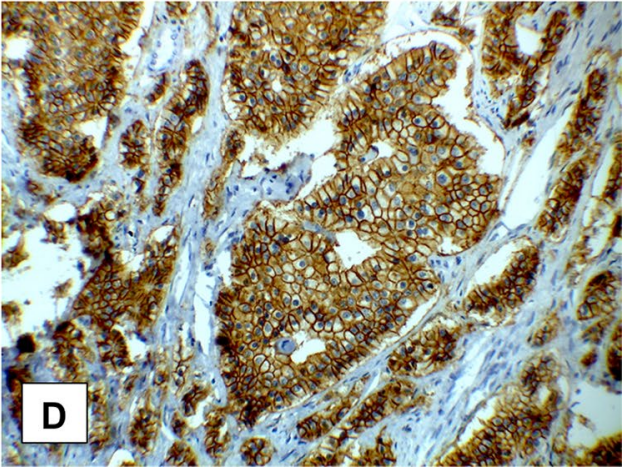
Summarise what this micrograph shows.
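Nests and cords of tumour cells are outlined by strong brown staining along every cell border, giving a honeycomb look, while the blue-counterstained stroma between the nests stays unstained. The round nuclei sit centrally in the cells, which form the same nested pattern of the tumour.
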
